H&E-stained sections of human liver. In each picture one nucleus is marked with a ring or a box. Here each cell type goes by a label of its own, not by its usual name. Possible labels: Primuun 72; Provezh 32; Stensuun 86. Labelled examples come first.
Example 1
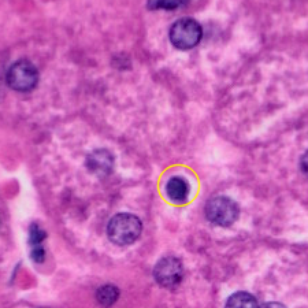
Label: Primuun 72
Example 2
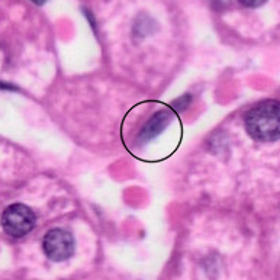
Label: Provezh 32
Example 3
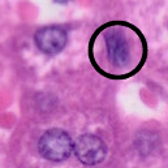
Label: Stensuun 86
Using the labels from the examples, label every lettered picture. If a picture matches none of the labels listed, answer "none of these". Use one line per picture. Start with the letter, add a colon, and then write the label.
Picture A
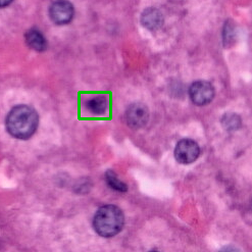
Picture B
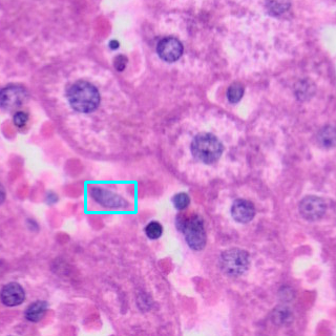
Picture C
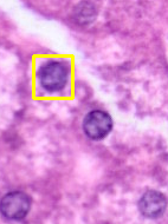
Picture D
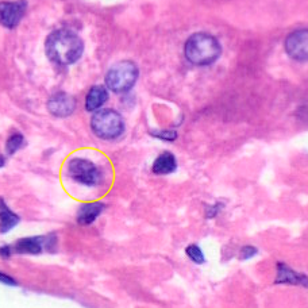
A: Stensuun 86
B: Provezh 32
C: none of these
D: Stensuun 86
